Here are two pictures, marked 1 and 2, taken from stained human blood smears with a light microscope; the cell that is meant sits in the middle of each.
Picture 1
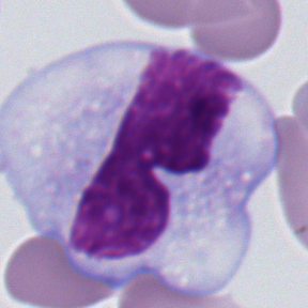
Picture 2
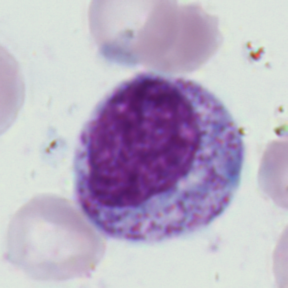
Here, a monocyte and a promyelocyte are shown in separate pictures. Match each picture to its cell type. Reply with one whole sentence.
In picture 1 the cell is a monocyte; in picture 2, a promyelocyte.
